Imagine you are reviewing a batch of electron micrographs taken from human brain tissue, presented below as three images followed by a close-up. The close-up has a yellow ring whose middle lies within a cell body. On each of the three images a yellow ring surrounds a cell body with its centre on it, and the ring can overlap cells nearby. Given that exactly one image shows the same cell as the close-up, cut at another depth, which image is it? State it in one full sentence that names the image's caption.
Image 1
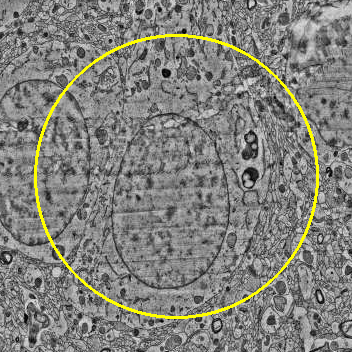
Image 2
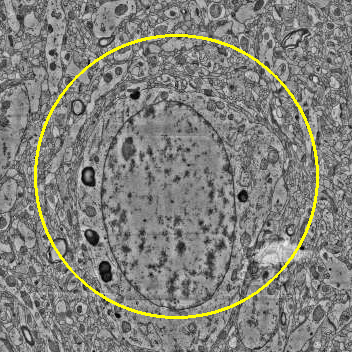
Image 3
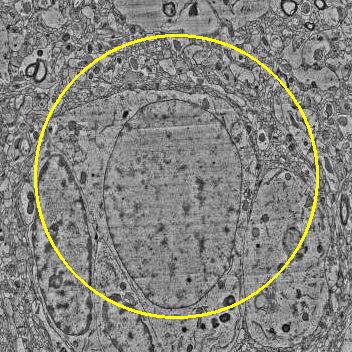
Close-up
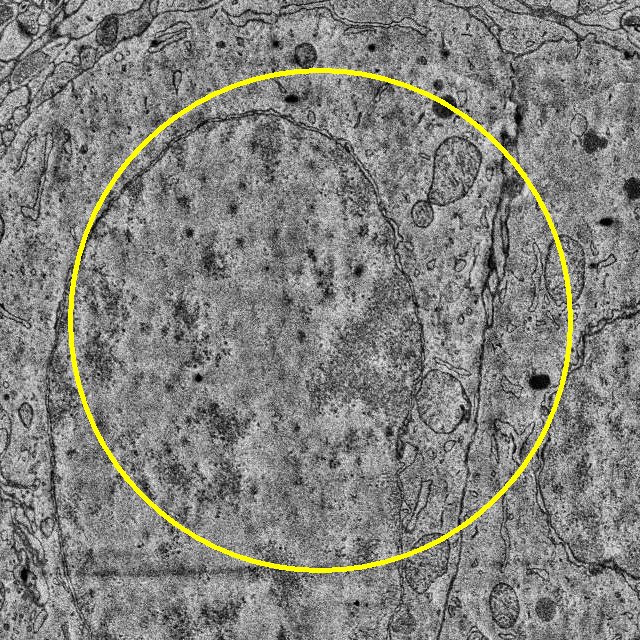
The close-up pictures the cell encircled in Image 2.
